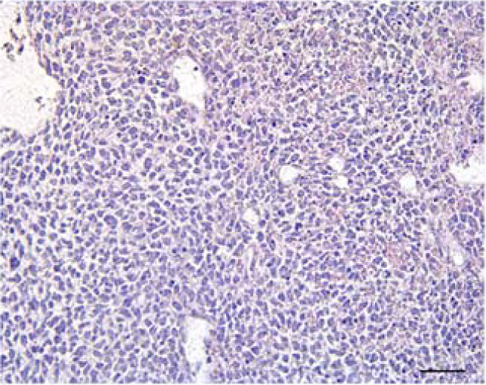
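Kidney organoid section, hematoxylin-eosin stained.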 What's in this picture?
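The section is made of a uniform sheet of closely packed mesenchymal-like cells with small purple nuclei and scant pale cytoplasm. No tubules or rounded epithelial structures are formed; only a few small clear spaces interrupt the cell mass.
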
